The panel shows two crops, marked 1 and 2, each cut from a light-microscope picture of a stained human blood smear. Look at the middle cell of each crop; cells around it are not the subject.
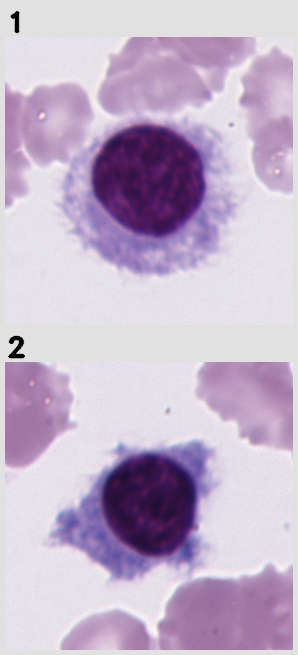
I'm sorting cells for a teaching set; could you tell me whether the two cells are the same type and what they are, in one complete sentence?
Yes, hairy cells are what the two crops show.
